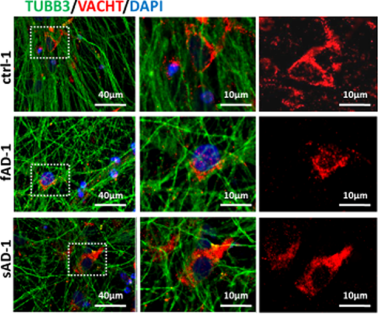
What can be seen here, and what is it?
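The wide views show a dense web of green fibres running in many directions, with blue nuclei dotted among them. A dashed box marks a cell shown enlarged next to it: a blue nucleus surrounded by a cell body whose red staining is grainy and dotted rather than smooth, spreading a little into the bases of its processes. In the red-only image the granular, speckled pattern is easy to see, outlining the cell body and short stretches of its processes.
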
